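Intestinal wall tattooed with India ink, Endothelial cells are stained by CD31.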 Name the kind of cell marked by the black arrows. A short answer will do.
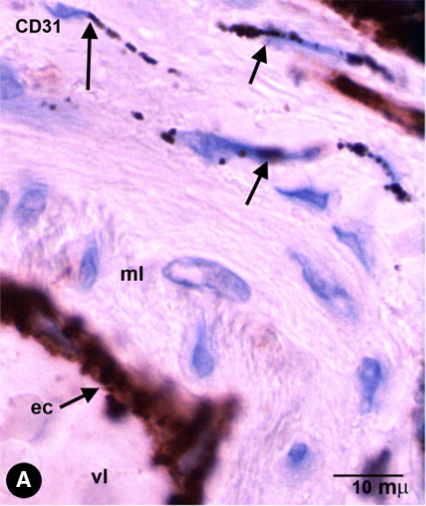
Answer: stromal cells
